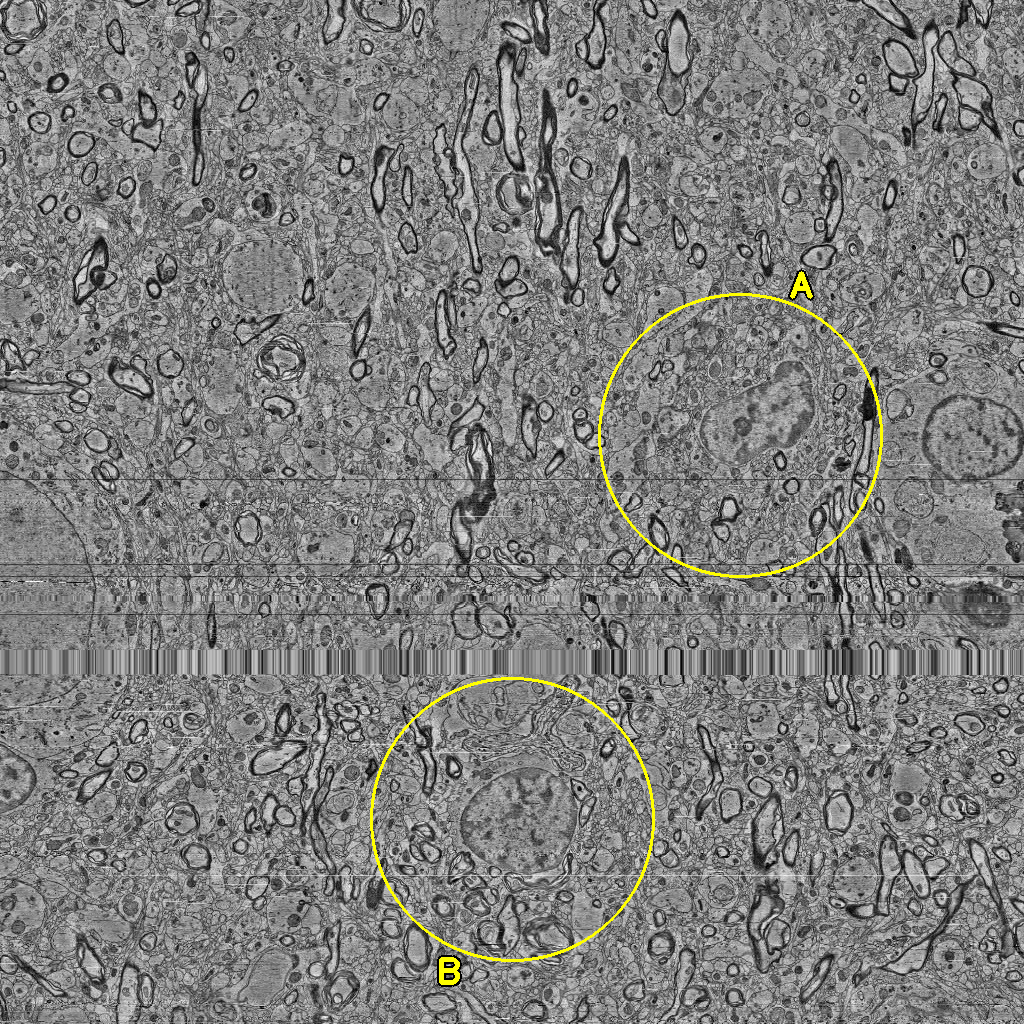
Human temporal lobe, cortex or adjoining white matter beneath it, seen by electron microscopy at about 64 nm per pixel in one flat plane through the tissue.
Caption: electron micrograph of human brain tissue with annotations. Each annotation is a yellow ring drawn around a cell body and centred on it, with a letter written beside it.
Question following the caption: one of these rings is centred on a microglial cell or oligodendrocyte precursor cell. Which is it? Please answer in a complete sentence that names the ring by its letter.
The ring with the letter A is centred on it.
